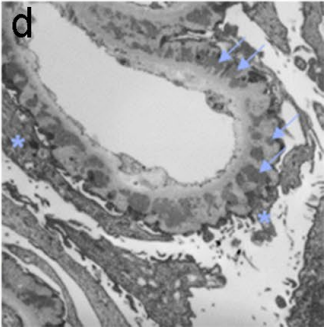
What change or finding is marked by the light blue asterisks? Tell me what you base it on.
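Effacement of podocyte foot processes. The cell layer on the outer side of the thick band is a continuous flat sheet. No separate small feet with gaps are seen along the band.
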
